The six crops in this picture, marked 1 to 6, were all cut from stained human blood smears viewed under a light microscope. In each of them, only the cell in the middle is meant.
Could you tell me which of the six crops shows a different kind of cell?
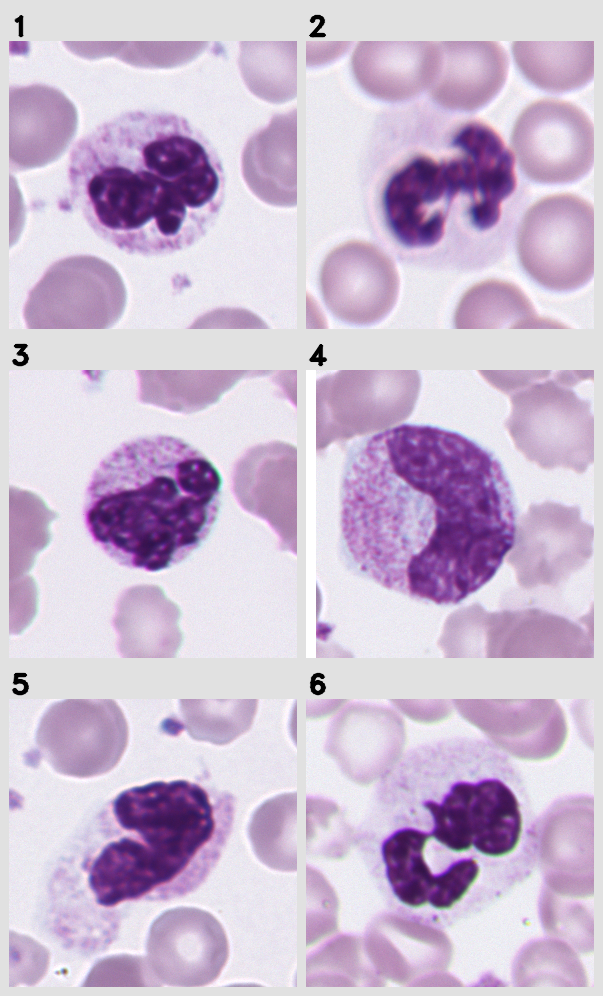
4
